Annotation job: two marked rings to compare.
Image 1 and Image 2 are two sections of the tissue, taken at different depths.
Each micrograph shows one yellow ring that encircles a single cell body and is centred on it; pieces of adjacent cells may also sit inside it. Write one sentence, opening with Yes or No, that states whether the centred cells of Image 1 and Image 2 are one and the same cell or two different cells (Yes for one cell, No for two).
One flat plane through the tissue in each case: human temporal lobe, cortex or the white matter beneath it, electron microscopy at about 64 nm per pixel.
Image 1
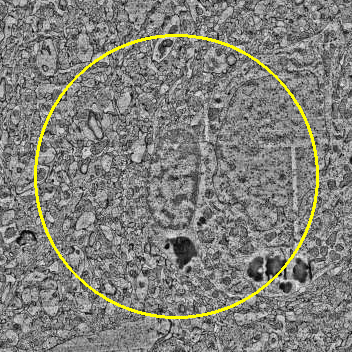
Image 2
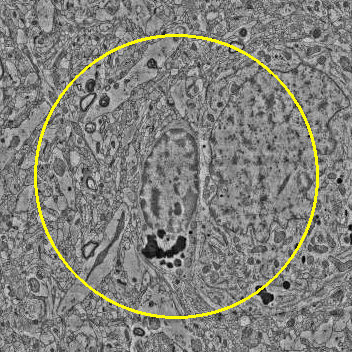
Yes, both circles in yellow pick out the same cell.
